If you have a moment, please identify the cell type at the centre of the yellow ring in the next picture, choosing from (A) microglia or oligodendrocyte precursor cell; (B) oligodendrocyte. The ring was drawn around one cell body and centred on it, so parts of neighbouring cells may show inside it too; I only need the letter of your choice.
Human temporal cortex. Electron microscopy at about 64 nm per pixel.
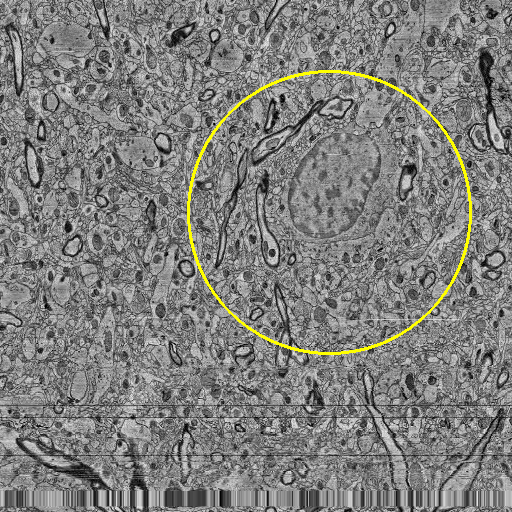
B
